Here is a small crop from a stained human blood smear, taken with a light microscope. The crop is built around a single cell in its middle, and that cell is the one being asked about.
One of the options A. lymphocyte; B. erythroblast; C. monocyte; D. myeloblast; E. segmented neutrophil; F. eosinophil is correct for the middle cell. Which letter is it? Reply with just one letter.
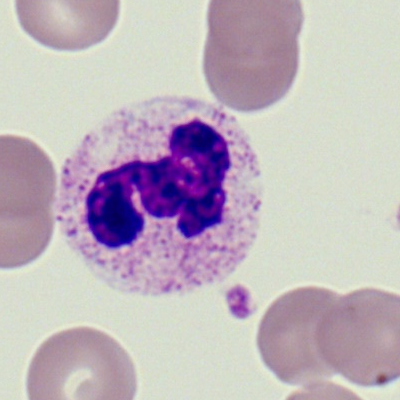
E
